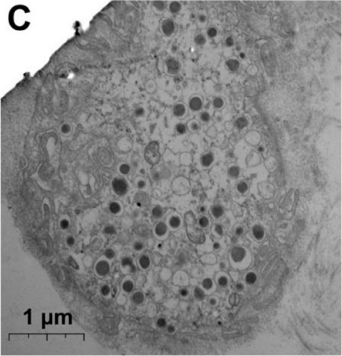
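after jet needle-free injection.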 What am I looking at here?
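A degranulating mast cell whose cytoplasm is crowded with round granules. Many granules show a dark dense core within a pale halo, while others look like empty or pale vacuoles. Folded membranes and processes line the periphery of the cell.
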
